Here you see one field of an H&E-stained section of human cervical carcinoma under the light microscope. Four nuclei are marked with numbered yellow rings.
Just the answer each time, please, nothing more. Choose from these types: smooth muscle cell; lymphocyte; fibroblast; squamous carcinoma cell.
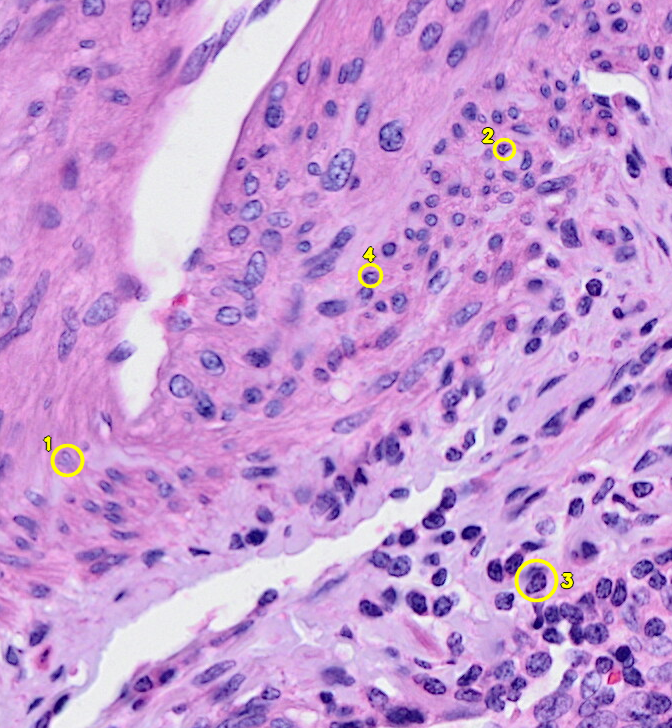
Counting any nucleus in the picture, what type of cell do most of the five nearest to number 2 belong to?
smooth muscle cell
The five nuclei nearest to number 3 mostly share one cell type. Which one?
lymphocyte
